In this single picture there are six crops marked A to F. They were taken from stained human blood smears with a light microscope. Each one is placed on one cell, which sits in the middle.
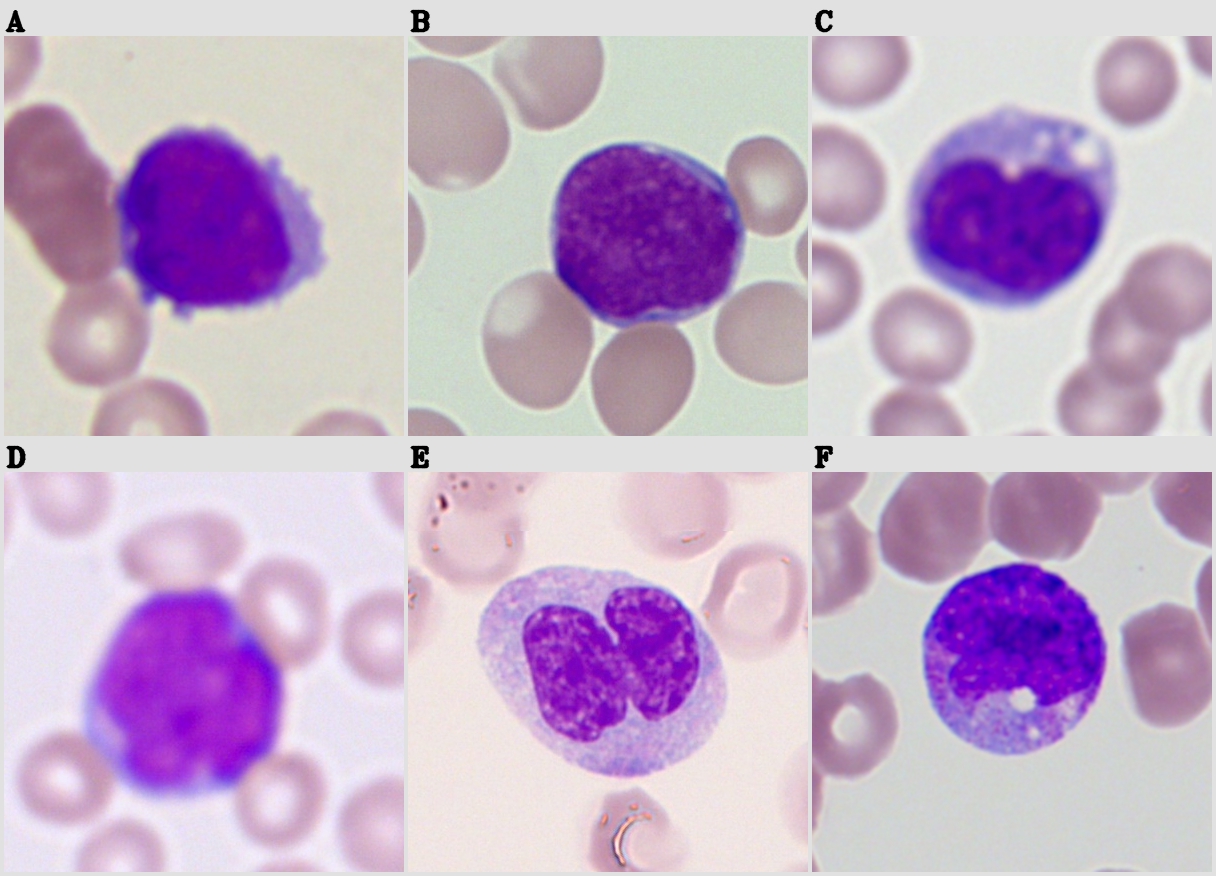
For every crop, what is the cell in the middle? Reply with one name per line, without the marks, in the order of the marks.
blast
blast
monocyte
blast
monocyte
monocyte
